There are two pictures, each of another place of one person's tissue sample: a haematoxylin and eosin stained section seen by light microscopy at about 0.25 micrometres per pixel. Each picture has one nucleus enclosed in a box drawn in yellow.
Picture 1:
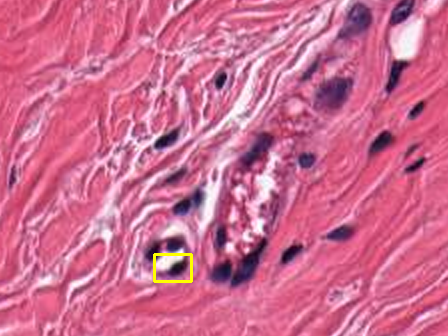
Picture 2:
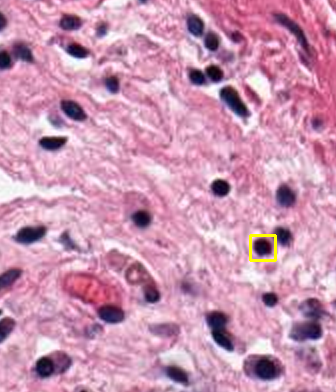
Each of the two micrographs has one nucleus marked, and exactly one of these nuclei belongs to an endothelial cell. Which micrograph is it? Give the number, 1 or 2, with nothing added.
1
